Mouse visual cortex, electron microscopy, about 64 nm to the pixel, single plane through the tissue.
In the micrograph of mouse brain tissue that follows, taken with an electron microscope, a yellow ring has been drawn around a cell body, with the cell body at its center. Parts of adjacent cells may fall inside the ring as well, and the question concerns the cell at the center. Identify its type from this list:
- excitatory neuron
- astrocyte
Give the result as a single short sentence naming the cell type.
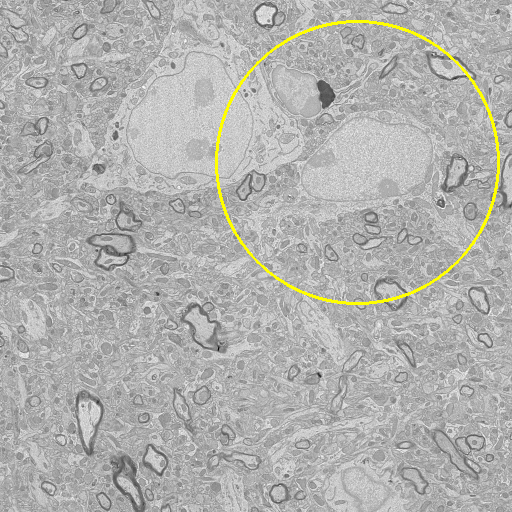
The ring is centered on an astrocyte.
